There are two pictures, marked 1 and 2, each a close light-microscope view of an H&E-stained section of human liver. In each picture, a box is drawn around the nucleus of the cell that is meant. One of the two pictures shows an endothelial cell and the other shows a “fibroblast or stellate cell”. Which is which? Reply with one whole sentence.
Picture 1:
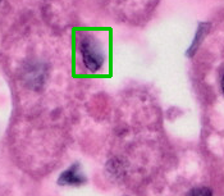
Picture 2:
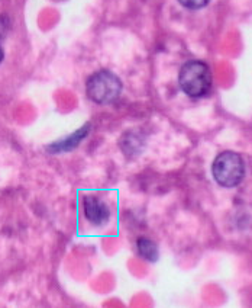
Picture 2 shows a “fibroblast or stellate cell”, while picture 1 shows an endothelial cell.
